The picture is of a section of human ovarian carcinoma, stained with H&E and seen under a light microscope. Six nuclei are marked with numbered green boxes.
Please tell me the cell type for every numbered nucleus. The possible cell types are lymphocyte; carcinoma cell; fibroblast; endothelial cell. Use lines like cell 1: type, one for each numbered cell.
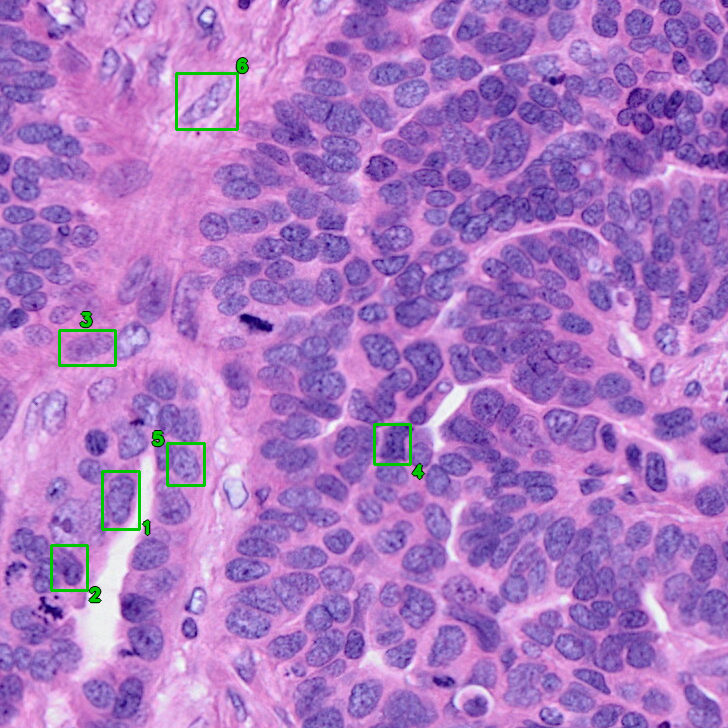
cell 1: carcinoma cell
cell 2: carcinoma cell
cell 3: fibroblast
cell 4: carcinoma cell
cell 5: carcinoma cell
cell 6: fibroblast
